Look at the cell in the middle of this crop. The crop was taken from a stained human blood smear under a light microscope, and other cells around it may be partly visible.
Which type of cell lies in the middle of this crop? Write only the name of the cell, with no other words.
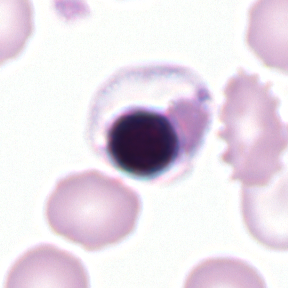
erythroblast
